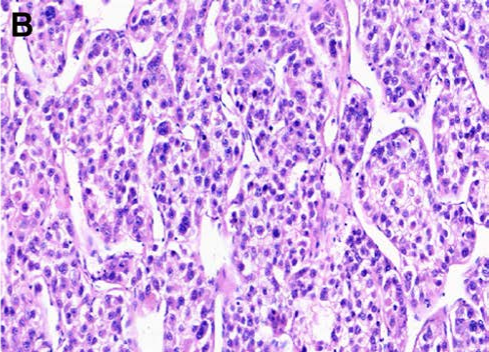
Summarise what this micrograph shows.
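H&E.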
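Moderately differentiated hepatocellular carcinoma is seen, with tumor cells arranged in a trabecular architecture. Nuclear size varies somewhat from cell to cell.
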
